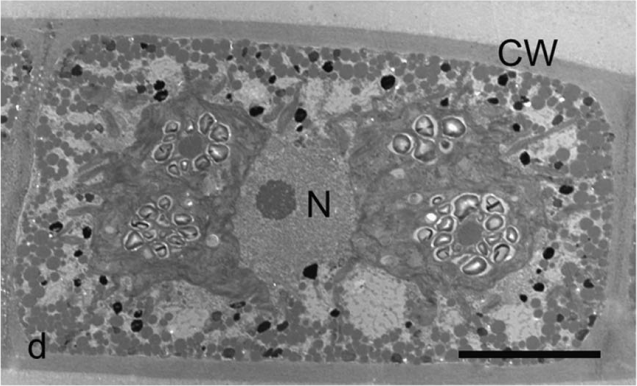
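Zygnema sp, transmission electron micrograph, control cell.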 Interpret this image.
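This is a whole cell of a filamentous green alga seen in section, with a thick cell wall enclosing a densely filled interior. Two chloroplasts lie on either side of a central nucleus, and each holds roughly two rounded centres ringed by pale, irregular starch grains around a darker core. The nucleus sits between them with a dark, rounded nucleolus. The peripheral cytoplasm is crowded with many round, uniformly grey lipid bodies, among which small, solid black electron-dense bodies are scattered. Little open vacuole space remains, unlike a cell dominated by large vacuoles.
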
